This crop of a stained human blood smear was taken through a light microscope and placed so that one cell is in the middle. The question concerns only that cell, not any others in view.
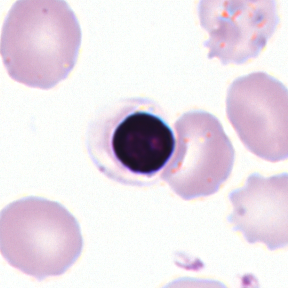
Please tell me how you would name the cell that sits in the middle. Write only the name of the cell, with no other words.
erythroblast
